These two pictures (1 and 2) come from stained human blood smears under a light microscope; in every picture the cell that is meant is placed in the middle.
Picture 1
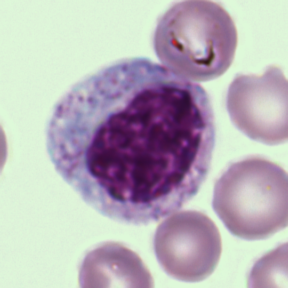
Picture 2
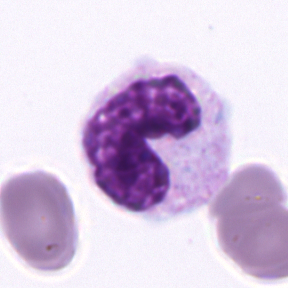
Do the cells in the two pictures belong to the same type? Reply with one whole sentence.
No, picture 1 shows a metamyelocyte and picture 2 shows a band neutrophil.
